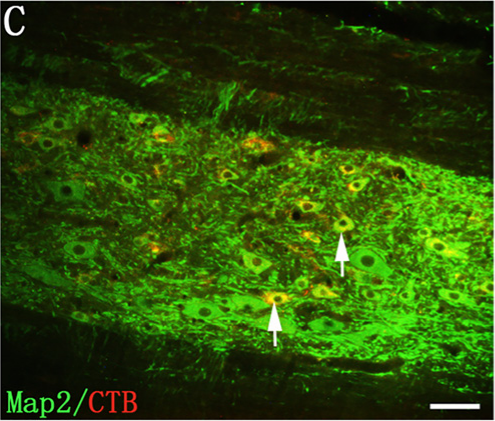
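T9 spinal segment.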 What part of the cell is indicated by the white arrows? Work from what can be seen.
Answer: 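Cell somata. The arrows point to rounded to polygonal cell bodies with a dark central nucleus. Red granules lie within the green cell bodies, giving them a yellow cast. Many thin green fibres run through the surrounding tissue.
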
